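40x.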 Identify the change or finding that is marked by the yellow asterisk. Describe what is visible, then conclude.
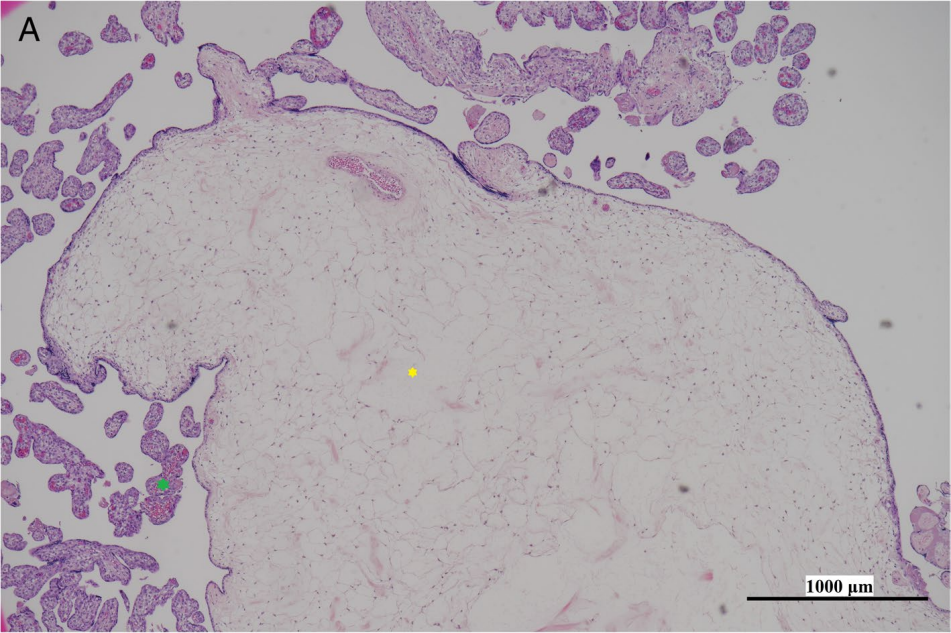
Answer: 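One very large villus with pale, loose, watery stroma. The stroma holds few scattered nuclei and clear spaces. It is far larger than the small villi around it. So: hydropic villi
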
